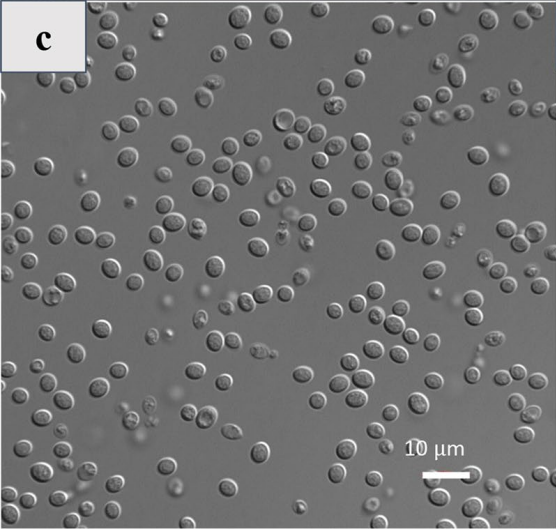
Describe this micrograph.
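Yeast cells lying singly and scattered across the field, round to ovoid and a few micrometres across, with smooth walls in relief. A few cells carry a smaller rounded bud attached at one end, and some show granular internal texture.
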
